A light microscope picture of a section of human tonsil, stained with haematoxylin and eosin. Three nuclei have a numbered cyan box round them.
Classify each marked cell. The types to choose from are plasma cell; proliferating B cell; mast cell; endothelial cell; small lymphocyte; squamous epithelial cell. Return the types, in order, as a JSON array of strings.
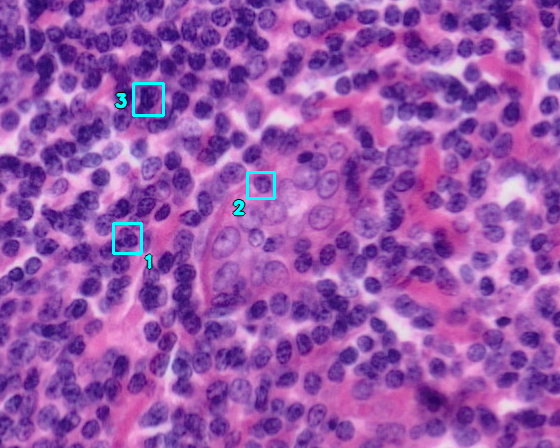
["small lymphocyte", "endothelial cell", "small lymphocyte"]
